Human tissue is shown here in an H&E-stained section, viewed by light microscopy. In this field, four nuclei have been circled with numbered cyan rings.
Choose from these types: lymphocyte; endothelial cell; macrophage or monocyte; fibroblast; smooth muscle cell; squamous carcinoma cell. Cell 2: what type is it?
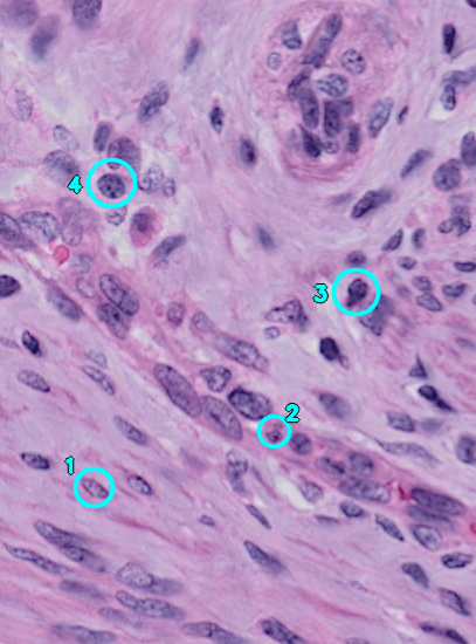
endothelial cell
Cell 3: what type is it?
lymphocyte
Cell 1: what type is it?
smooth muscle cell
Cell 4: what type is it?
lymphocyte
